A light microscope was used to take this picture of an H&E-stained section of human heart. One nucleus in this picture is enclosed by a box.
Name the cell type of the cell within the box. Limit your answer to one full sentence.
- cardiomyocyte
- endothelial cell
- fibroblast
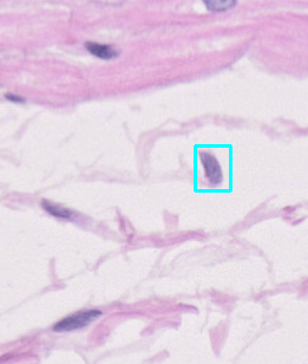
By cell type, the cell within the box is a fibroblast.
